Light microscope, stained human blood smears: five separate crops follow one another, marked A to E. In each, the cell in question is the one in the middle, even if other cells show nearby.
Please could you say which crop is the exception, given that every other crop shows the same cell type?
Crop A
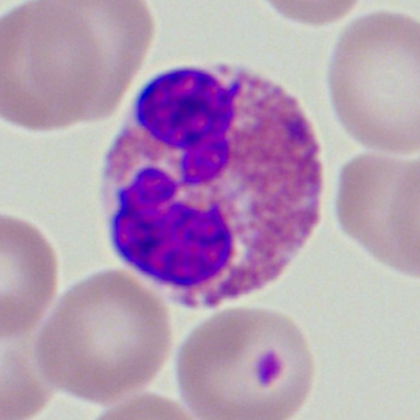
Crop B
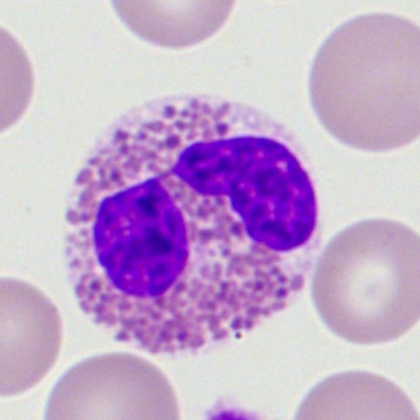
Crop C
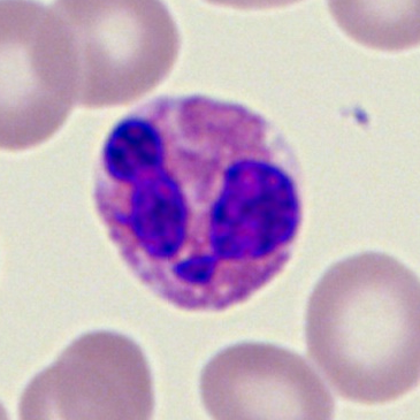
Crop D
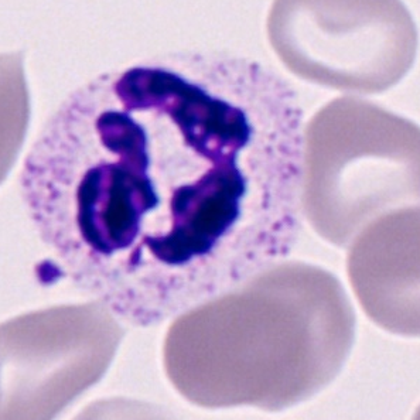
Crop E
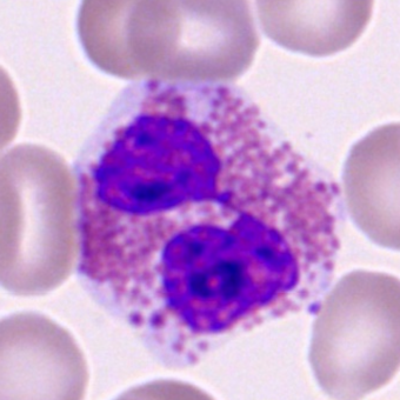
D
